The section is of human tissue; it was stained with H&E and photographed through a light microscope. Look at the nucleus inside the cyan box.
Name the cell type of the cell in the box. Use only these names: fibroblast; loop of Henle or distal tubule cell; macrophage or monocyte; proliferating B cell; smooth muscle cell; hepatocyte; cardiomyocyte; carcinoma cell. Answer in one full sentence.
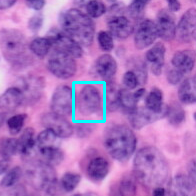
So far as cell type goes, the cell in the box is a proliferating B cell.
